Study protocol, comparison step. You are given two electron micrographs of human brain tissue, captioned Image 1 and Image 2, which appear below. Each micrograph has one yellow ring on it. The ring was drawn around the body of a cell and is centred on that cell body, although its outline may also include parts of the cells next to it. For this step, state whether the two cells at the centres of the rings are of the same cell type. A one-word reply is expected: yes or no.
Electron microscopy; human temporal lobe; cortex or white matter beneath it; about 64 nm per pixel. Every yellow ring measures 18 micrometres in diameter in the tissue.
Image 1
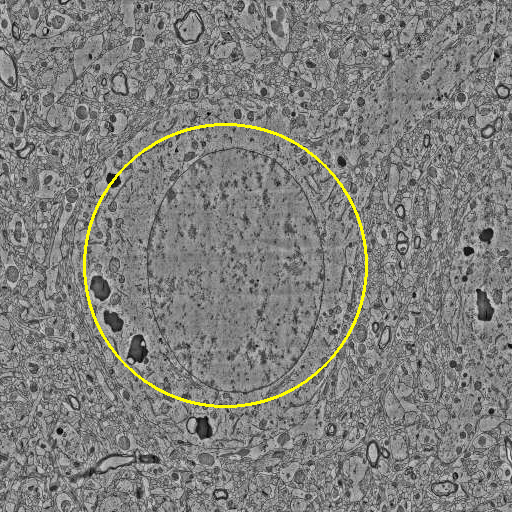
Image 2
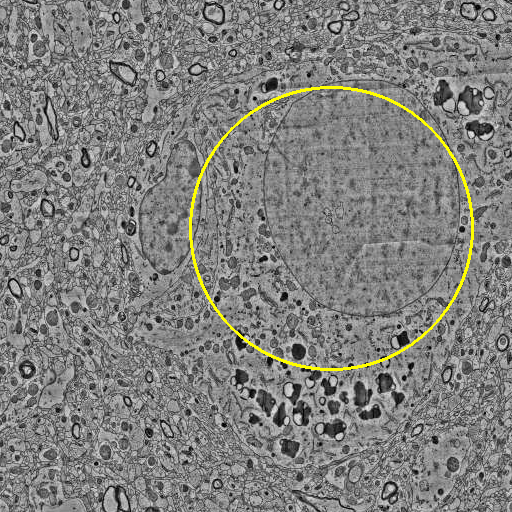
yes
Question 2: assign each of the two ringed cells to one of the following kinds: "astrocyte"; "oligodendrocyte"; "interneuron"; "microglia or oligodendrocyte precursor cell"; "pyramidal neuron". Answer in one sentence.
Each cell at the centre of a ring is a pyramidal neuron.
